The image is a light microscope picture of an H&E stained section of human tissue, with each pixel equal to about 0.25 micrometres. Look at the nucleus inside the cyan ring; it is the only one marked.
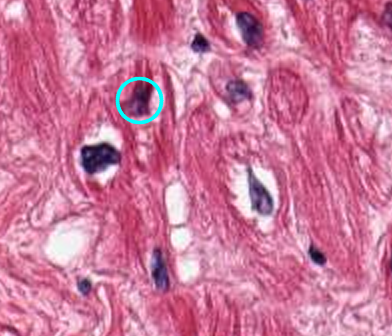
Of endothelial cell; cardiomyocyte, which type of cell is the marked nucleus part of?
cardiomyocyte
